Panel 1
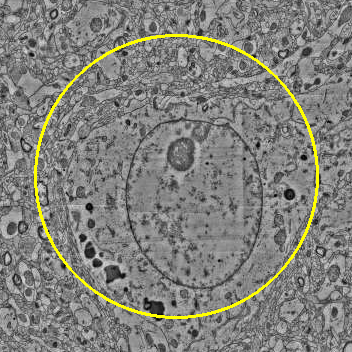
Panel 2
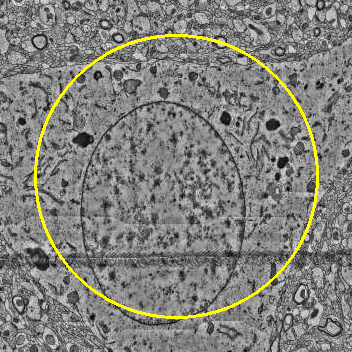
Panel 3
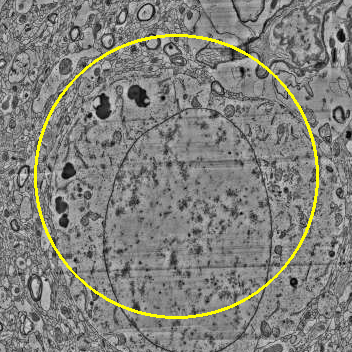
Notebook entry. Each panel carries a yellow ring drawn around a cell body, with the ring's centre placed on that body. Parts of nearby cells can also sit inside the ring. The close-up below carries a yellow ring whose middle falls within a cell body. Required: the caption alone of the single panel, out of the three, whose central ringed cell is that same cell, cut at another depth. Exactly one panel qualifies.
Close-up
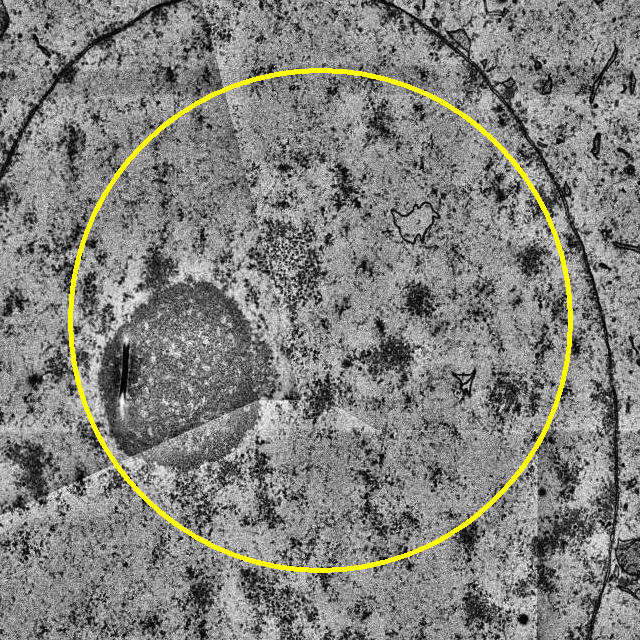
Panel 2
